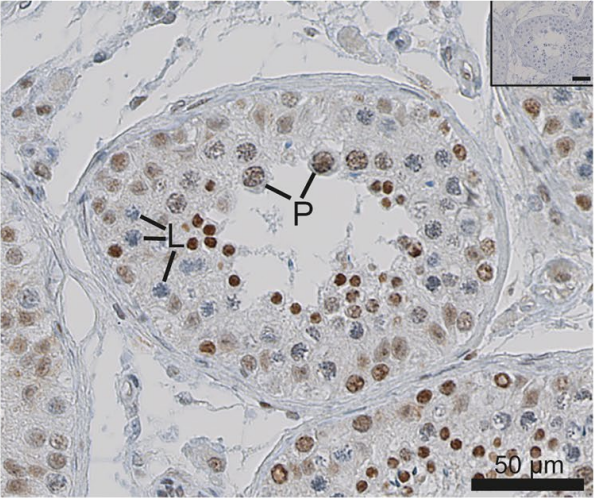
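Seminiferous tubule of testis cut across, with germ cells in layers around a central lumen and loose interstitium with flattened cells outside. Many germ cell nuclei are stained brown, the small dense round nuclei near the lumen most strongly. Large spermatocytes with big round nuclei and thread-like chromatin lie in the middle of the epithelium, some with paler brown nuclei. Smaller spermatocytes with blue, finely condensed nuclei lie among them. Cytoplasm in the epithelium and cells of the interstitium stain only faintly.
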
